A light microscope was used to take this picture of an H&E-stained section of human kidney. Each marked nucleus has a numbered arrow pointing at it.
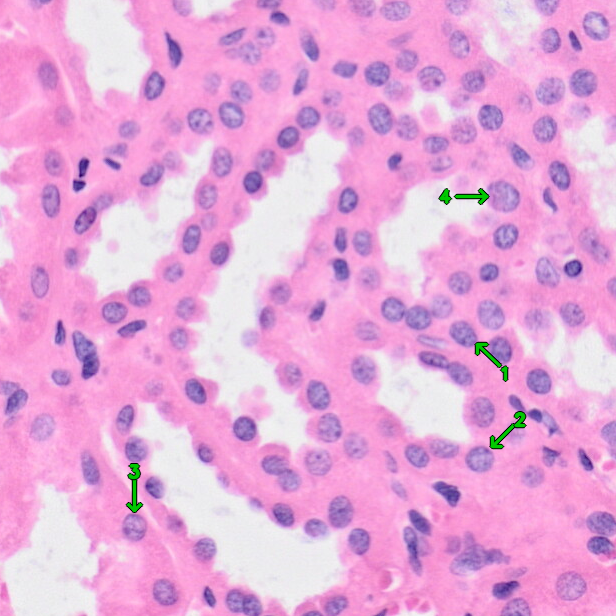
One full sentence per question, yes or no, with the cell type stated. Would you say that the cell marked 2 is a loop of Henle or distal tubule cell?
Yes, that one, number 2, is a loop of Henle or distal tubule cell.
